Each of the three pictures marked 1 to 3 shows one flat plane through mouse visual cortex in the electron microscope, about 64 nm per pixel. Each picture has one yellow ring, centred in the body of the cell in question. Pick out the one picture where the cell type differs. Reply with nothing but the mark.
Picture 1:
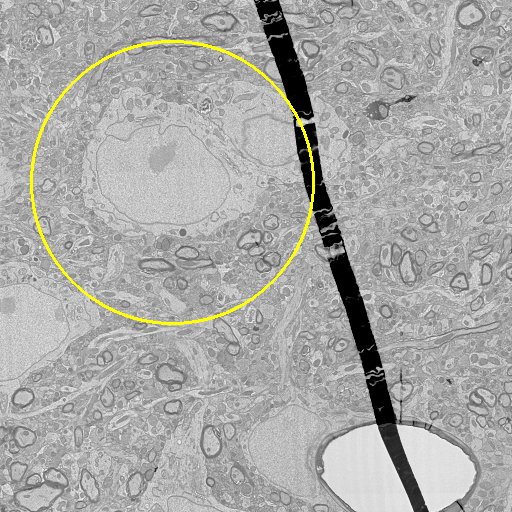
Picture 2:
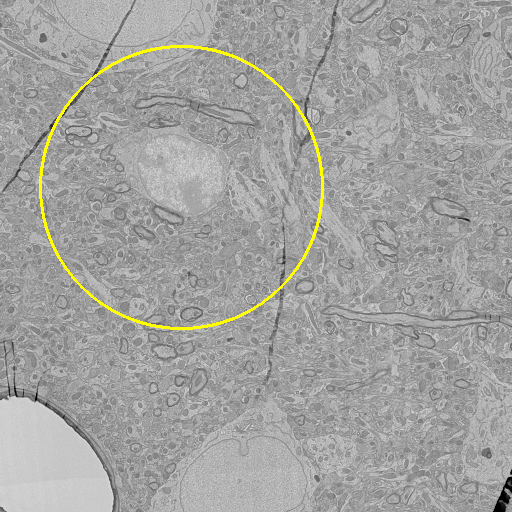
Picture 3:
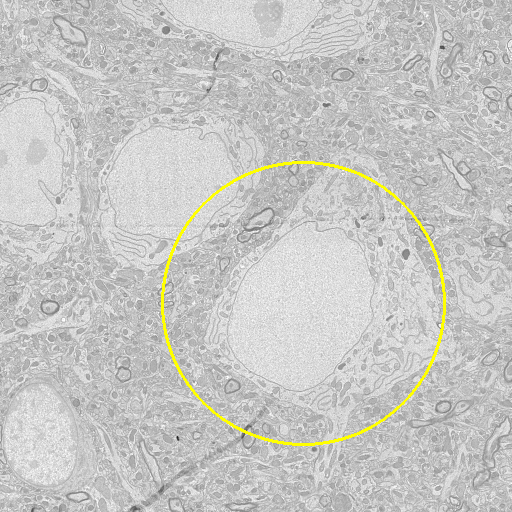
2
